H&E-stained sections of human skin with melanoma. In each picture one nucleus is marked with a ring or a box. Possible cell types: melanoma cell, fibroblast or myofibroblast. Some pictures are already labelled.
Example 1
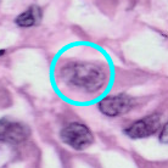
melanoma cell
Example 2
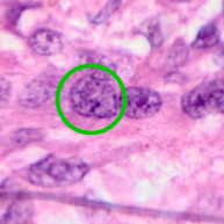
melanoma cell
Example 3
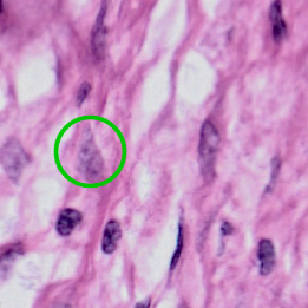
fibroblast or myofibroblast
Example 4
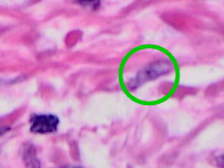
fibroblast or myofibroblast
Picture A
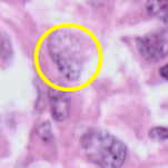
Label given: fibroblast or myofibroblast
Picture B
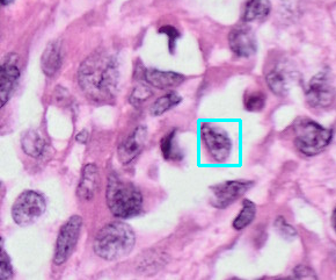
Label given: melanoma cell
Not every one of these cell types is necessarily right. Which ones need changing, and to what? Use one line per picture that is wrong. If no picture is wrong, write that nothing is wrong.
A: melanoma cell, not fibroblast or myofibroblast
